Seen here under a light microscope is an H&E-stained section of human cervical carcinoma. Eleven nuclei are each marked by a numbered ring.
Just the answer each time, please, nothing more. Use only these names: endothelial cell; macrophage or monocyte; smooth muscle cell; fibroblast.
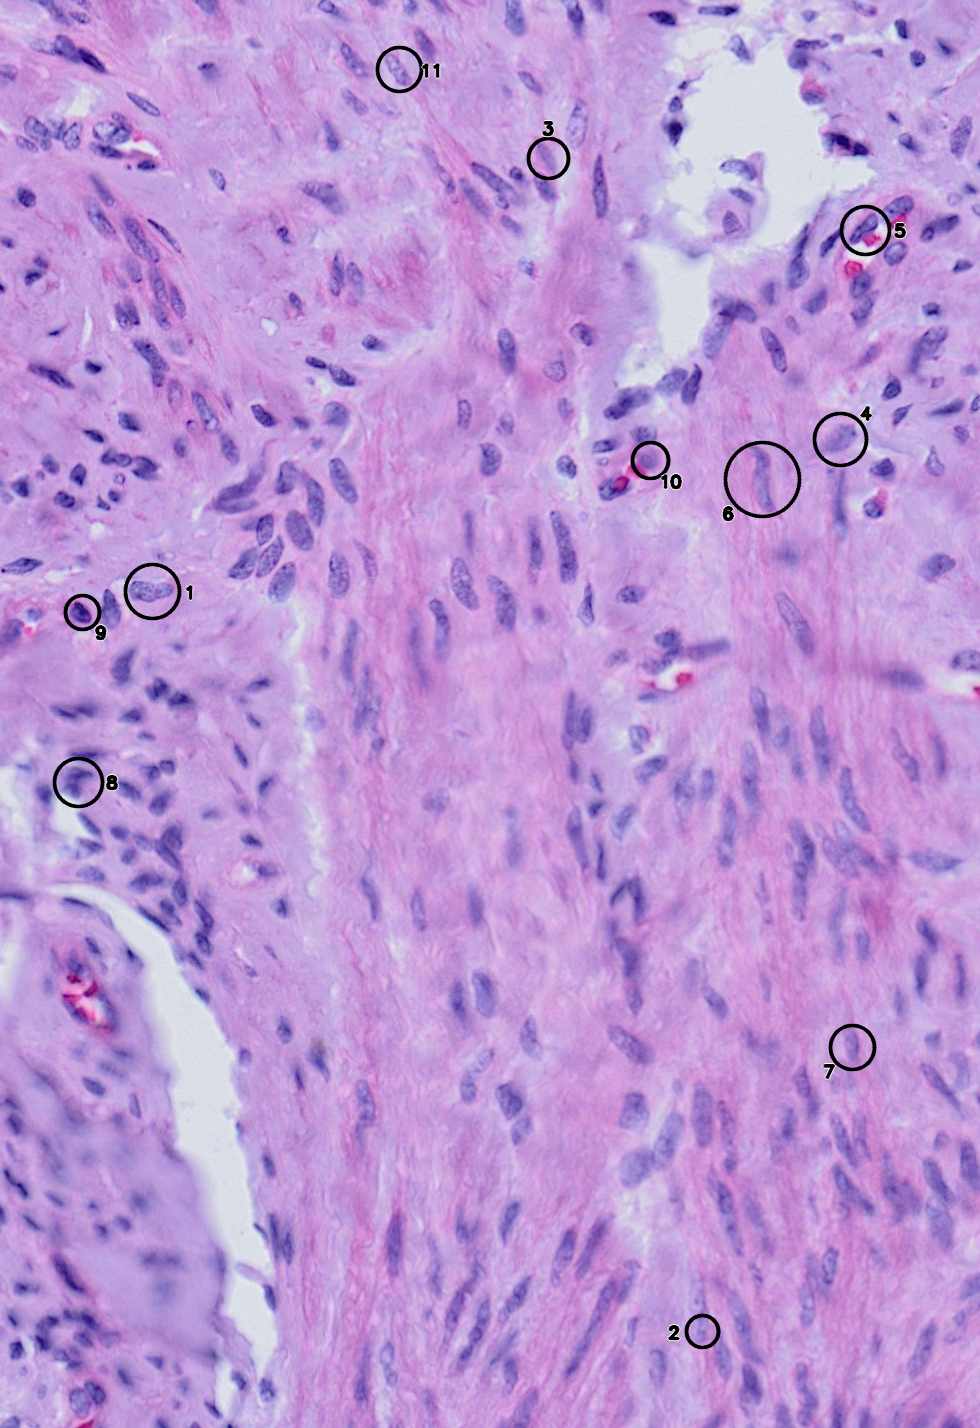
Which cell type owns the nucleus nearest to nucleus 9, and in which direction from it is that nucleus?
a fibroblast, to the right of nucleus 9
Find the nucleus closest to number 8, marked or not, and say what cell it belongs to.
fibroblast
